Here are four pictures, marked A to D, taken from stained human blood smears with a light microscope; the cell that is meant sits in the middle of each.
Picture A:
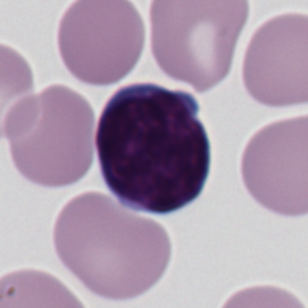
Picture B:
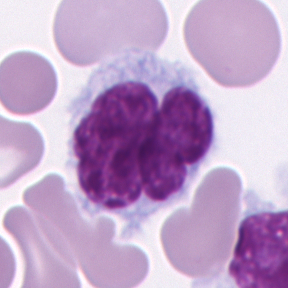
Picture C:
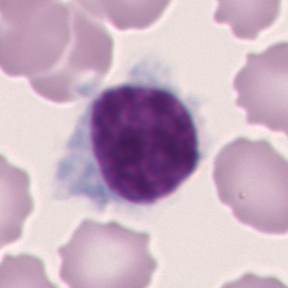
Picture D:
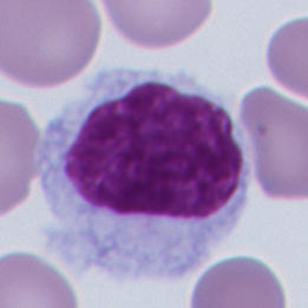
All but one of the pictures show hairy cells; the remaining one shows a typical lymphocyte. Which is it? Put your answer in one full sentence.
Picture A is the one that shows the typical lymphocyte.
